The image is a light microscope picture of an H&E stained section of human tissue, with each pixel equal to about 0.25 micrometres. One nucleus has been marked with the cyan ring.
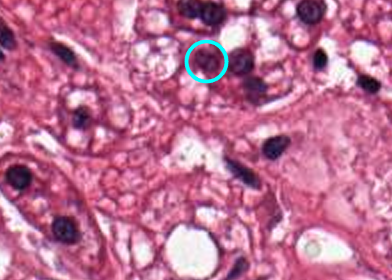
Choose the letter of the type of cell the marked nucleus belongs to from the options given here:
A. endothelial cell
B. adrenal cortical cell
B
